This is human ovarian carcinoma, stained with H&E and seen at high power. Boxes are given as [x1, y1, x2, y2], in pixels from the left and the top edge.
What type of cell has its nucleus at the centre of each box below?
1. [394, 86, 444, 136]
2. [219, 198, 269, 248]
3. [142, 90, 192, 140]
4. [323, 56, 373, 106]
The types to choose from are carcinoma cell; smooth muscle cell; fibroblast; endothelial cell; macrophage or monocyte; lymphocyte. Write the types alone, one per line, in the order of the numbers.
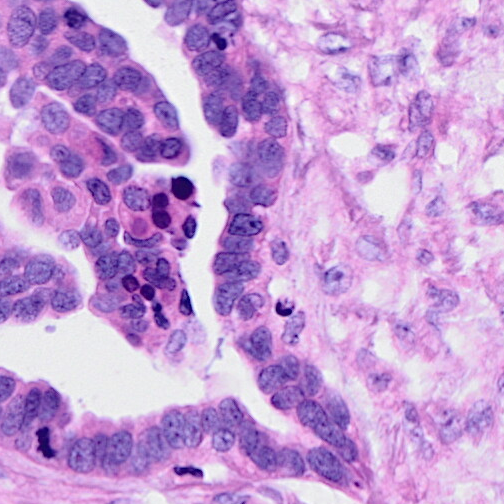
fibroblast
carcinoma cell
carcinoma cell
fibroblast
